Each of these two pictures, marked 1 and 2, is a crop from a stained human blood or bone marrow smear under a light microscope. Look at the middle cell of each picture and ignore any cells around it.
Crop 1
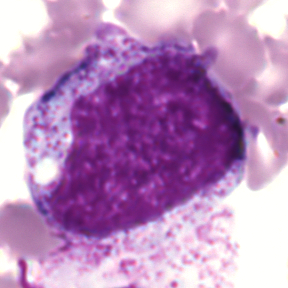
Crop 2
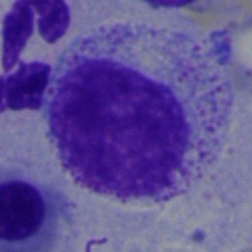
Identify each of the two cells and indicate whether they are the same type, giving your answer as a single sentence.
Yes, in the middle of both crops, myelocytes are shown.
